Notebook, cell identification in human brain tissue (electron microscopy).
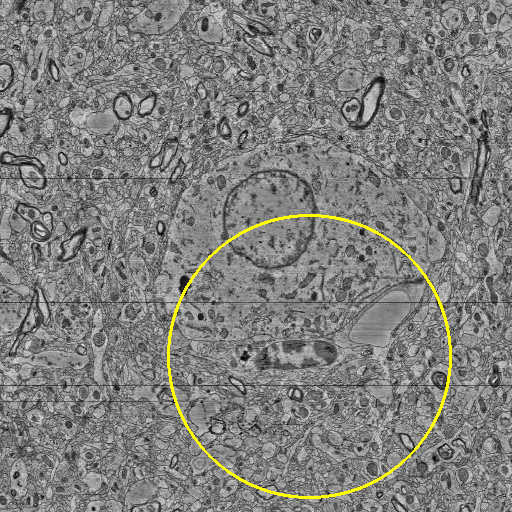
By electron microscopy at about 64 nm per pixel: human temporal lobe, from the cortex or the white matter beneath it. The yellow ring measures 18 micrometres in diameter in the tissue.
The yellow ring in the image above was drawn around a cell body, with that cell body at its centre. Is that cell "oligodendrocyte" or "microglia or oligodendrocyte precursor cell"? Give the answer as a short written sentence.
The cell in the ring is a microglial cell or oligodendrocyte precursor cell.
